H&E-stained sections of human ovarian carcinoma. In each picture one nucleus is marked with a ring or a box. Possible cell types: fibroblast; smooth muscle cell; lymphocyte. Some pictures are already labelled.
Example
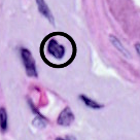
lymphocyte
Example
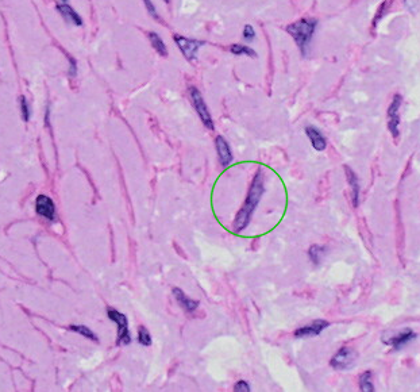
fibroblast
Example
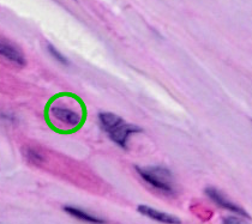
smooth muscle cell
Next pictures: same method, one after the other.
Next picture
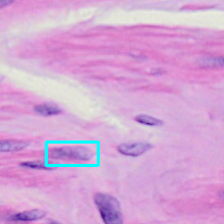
smooth muscle cell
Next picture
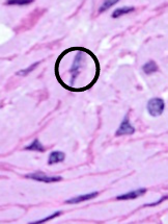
fibroblast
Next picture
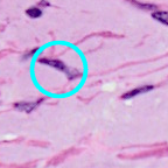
fibroblast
